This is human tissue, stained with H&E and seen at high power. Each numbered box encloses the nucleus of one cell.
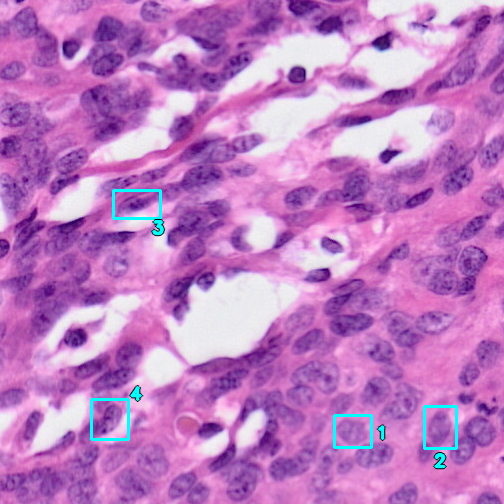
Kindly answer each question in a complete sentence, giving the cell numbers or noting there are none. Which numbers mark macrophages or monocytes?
Of the cells carrying numbers, just cell 4 is a macrophage or monocyte.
